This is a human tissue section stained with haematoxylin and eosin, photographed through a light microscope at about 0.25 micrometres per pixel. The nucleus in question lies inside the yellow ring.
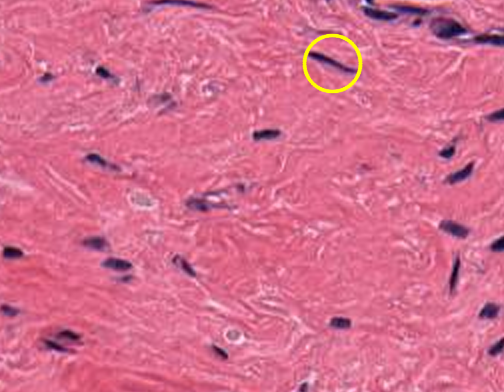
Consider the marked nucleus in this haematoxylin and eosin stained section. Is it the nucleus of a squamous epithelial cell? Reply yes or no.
no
